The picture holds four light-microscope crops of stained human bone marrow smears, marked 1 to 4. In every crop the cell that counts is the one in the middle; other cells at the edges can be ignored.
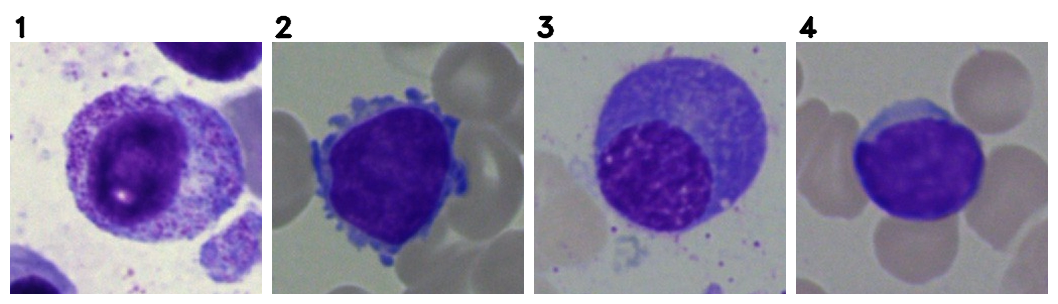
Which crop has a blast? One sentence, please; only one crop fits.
Crop 2 alone, of all the crops, shows a blast.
